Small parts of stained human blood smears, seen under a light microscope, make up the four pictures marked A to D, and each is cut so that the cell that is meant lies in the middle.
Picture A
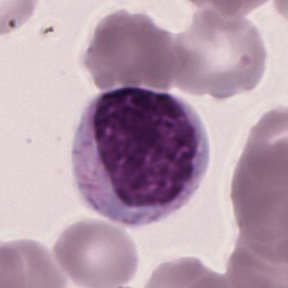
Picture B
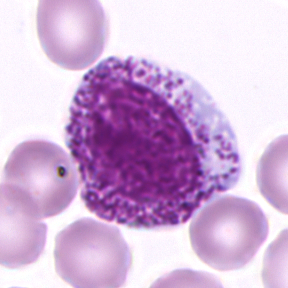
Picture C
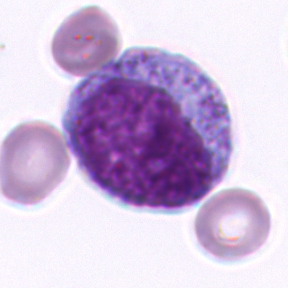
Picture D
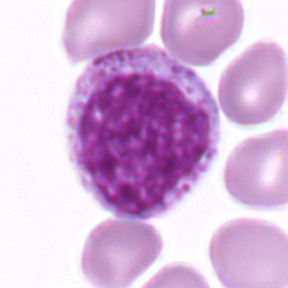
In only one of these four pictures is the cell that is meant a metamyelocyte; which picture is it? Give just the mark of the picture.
A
